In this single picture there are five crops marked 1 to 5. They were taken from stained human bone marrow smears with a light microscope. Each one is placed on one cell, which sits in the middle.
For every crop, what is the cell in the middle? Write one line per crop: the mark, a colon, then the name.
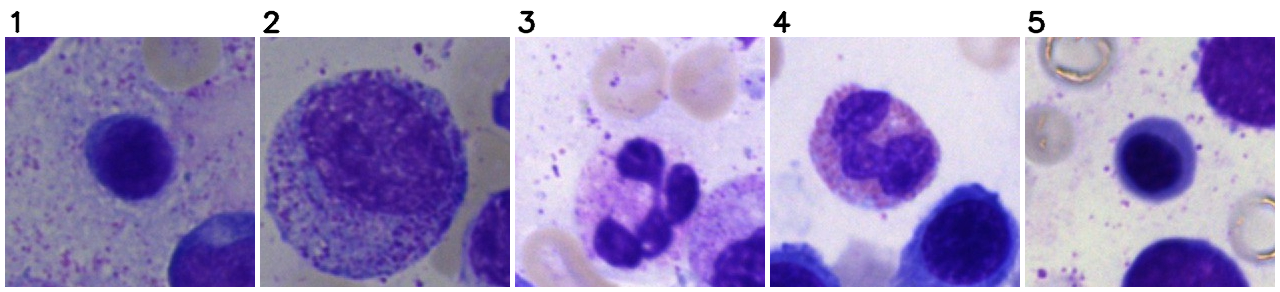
1: lymphocyte
2: promyelocyte
3: segmented neutrophil
4: eosinophil
5: erythroblast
